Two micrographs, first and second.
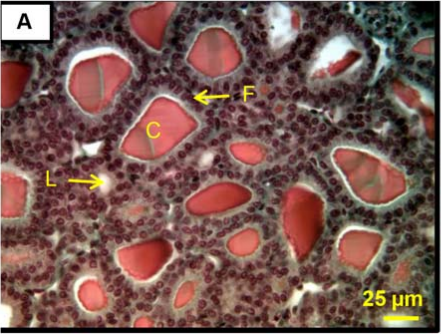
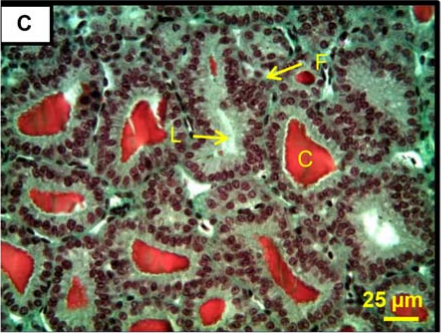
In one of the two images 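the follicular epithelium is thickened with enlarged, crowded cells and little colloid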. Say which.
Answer: the second image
